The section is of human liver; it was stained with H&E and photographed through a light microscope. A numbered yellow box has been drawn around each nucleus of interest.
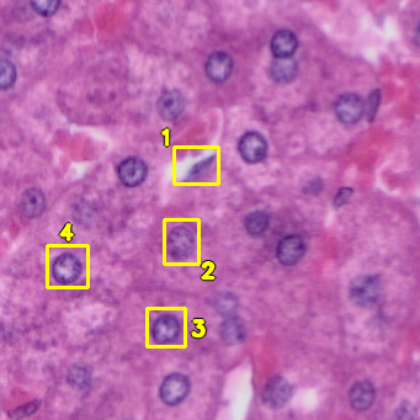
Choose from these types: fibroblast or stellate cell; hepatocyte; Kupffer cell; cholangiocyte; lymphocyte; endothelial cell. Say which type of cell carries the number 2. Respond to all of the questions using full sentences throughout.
The cell numbered 2 has been identified as a hepatocyte.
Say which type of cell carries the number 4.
The marked cell with the number 4 is recognised as a hepatocyte.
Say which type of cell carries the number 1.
Marked with the number 1, this cell is an endothelial cell.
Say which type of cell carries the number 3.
Of the numbered cells, the one labelled 3 is a hepatocyte.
